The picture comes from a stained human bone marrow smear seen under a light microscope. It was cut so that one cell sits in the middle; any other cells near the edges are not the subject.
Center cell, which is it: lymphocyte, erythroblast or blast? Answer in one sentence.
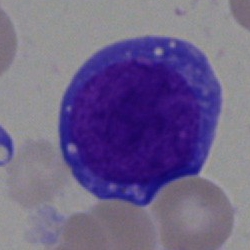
In the middle of this smear crop, the cell is a blast.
